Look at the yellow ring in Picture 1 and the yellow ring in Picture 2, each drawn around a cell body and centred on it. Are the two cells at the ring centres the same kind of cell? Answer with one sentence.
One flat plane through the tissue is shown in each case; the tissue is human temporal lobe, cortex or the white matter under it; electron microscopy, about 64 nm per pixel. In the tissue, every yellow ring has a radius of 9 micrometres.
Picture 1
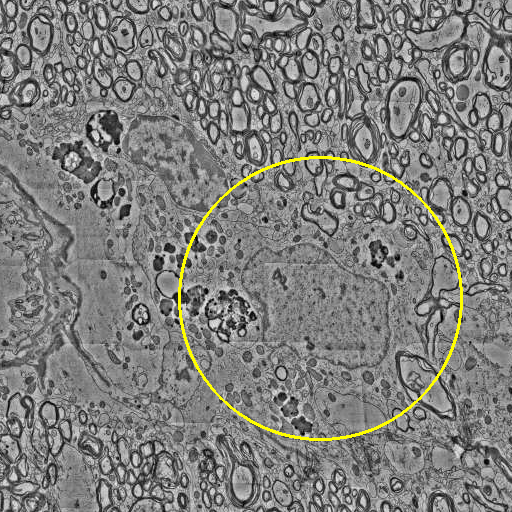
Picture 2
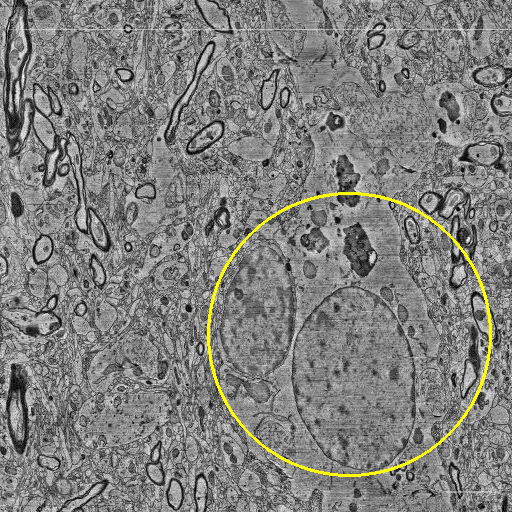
Yes, both are the same kind of cell.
